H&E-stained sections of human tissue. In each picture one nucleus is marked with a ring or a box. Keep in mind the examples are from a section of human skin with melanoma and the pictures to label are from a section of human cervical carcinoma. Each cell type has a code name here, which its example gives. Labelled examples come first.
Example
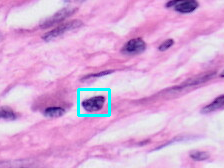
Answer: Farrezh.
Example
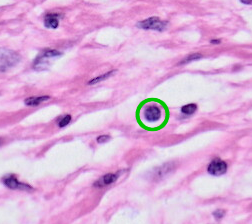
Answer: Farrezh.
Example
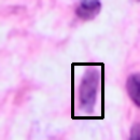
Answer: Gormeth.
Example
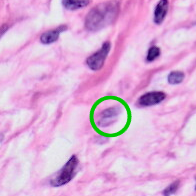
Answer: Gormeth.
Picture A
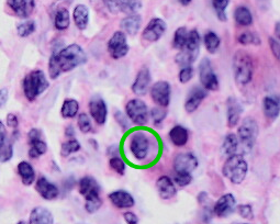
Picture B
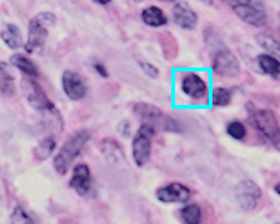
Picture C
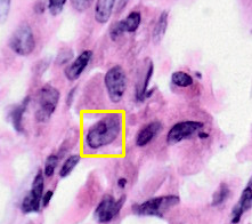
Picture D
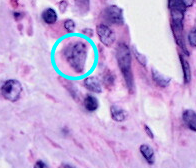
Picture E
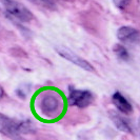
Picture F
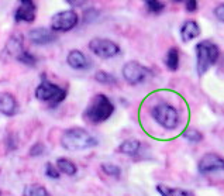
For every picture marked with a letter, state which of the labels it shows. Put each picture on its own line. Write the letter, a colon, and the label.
A: Farrezh.
B: Farrezh.
C: Gormeth.
D: Gormeth.
E: Gormeth.
F: Gormeth.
